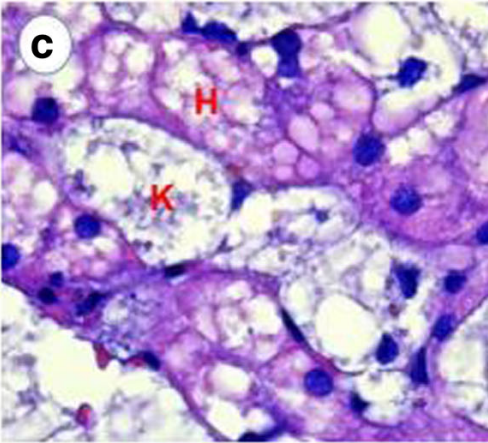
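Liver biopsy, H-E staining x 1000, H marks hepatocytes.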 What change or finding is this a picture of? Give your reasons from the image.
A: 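Cytoplasmic vacuolization. Pink-purple cells contain numerous round clear spaces of varying size. Some cells are almost entirely filled with clear bubbly spaces.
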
